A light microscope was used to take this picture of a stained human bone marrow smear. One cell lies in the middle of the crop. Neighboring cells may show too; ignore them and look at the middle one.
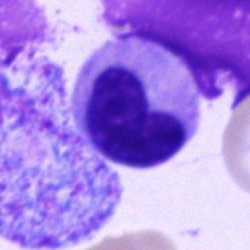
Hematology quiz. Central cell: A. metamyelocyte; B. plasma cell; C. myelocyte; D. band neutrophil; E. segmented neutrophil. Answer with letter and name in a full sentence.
The cell in the middle is a metamyelocyte, and that makes option A correct.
